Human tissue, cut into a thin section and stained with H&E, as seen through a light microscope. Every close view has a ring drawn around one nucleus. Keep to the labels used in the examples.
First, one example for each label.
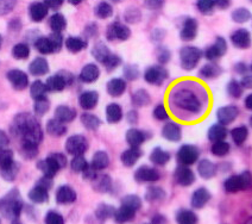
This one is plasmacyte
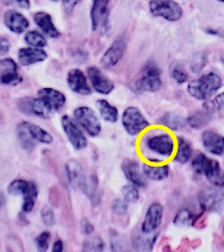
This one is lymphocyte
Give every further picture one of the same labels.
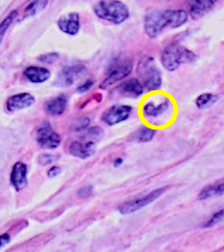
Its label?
lymphocyte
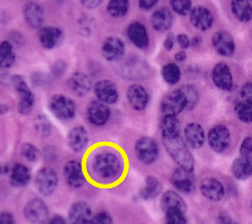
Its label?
plasmacyte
